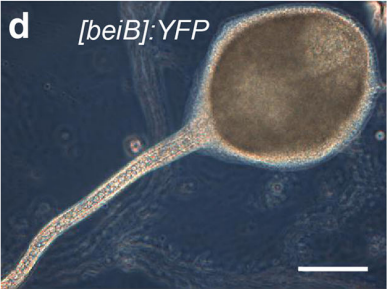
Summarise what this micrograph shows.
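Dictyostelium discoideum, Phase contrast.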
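A fruiting body is seen with a large, round spore head on a slender stalk. The stalk is a narrow tube that widens slightly where it joins the underside of the head. The head is dense and granular, with some areas appearing less opaque than others.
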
